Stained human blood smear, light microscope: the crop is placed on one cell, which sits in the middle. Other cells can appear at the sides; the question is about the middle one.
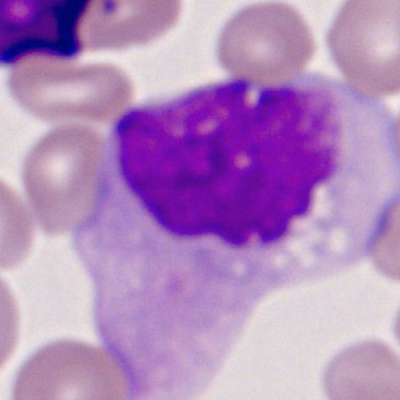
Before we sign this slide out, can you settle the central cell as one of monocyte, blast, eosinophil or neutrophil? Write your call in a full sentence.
The cell found in the middle of this crop is a monocyte.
